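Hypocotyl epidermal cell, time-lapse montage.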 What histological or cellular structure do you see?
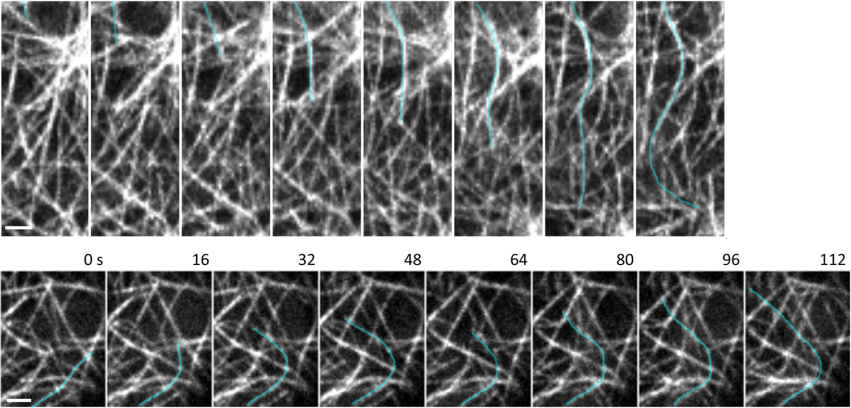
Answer: cortical microtubules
